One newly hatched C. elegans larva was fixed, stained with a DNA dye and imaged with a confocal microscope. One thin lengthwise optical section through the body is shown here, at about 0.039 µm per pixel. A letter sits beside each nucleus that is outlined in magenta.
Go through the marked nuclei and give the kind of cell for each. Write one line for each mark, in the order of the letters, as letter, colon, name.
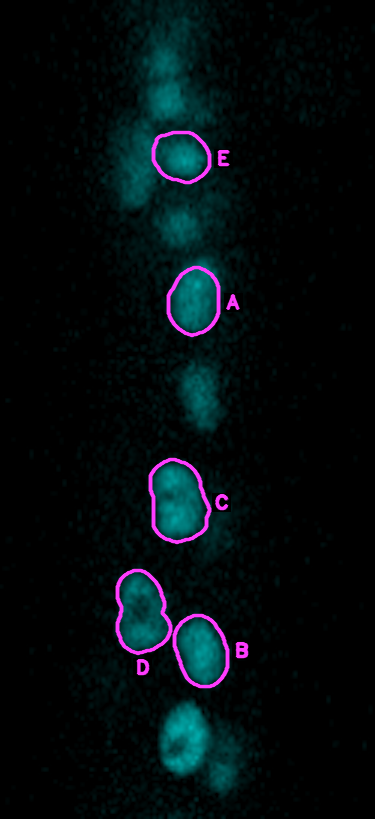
A: P cell (ventral epidermal blast cell)
B: P cell (ventral epidermal blast cell)
C: seam cell
D: hypodermal cell (hyp)
E: neuron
